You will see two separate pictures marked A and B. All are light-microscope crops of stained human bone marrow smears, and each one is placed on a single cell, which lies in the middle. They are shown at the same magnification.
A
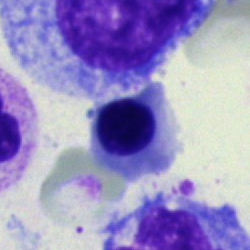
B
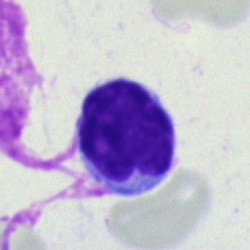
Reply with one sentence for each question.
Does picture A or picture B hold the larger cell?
It is the cell in picture B, about 1.5 times as large in area as the cell in picture A.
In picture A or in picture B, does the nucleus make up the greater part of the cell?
The nucleus fills more of the cell in picture B than in picture A.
